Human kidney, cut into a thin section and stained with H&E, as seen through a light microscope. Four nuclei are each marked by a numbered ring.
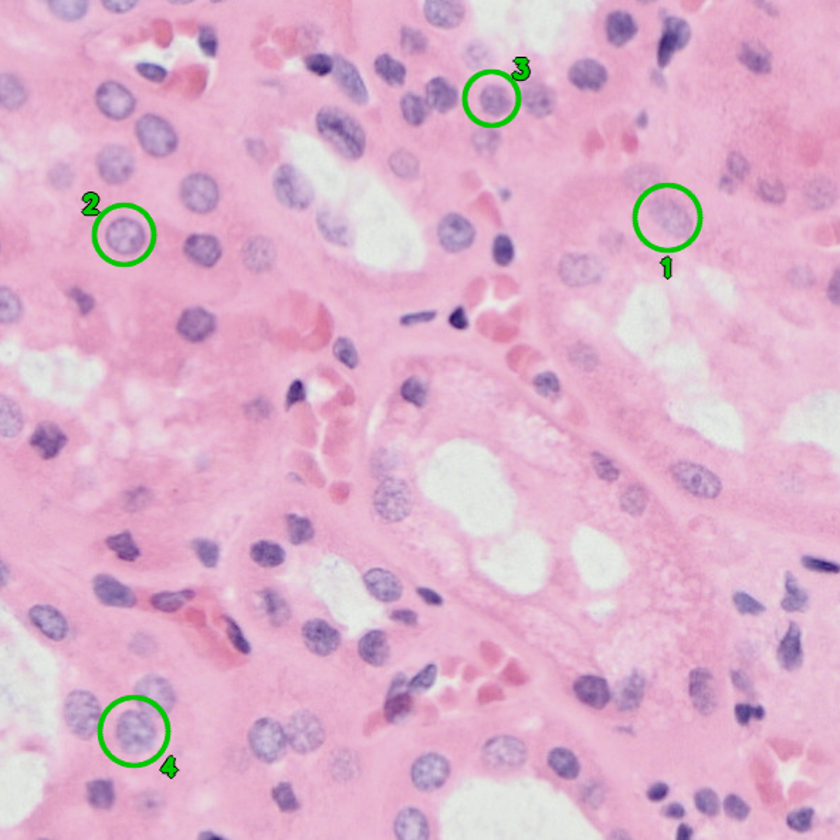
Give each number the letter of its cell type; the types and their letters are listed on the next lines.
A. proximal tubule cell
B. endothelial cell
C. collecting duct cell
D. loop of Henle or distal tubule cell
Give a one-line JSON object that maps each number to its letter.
{"1": "A", "2": "A", "3": "D", "4": "D"}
